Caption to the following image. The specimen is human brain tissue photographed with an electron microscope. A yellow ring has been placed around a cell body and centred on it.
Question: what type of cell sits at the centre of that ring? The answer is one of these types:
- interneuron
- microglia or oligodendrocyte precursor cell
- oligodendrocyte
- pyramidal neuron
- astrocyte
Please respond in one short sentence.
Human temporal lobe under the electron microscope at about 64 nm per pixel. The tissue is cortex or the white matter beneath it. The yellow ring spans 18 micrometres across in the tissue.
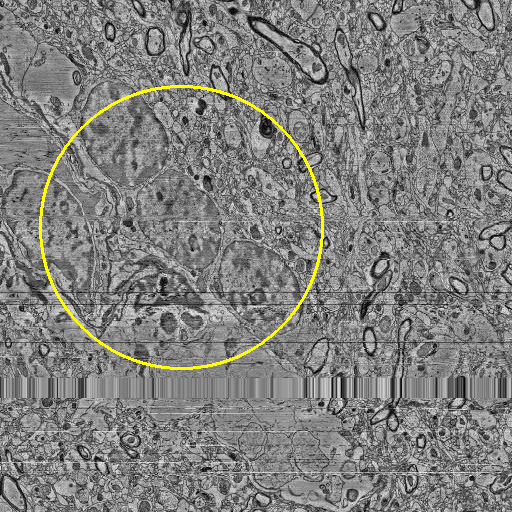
The ring surrounds the cell body of an oligodendrocyte.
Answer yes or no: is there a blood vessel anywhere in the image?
Yes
